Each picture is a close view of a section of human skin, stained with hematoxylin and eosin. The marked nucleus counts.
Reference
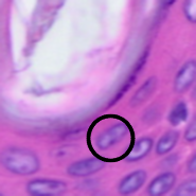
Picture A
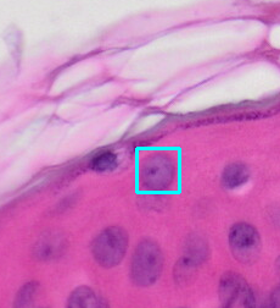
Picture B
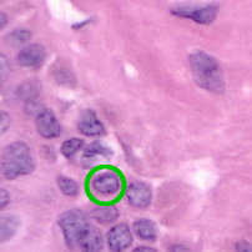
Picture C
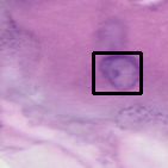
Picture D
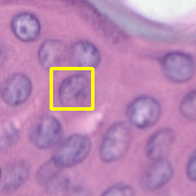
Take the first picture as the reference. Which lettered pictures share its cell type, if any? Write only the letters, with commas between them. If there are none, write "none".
A, C, D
